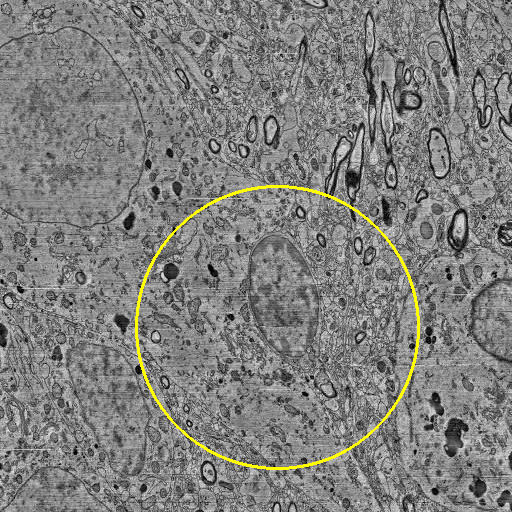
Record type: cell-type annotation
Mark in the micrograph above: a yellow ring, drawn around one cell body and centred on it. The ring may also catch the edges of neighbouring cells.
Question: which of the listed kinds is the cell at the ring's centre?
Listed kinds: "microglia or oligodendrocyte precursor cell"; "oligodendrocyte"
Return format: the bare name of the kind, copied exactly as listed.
oligodendrocyte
